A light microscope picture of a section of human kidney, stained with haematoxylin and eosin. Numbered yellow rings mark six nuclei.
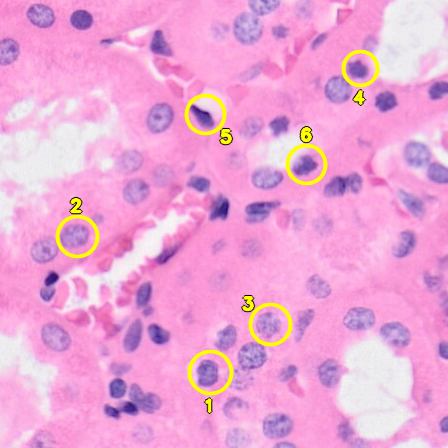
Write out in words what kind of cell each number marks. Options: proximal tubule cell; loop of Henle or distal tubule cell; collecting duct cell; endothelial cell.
Cell 1 is a loop of Henle or distal tubule cell, cell 2 is a proximal tubule cell, cell 3 is a loop of Henle or distal tubule cell, cell 4 is a loop of Henle or distal tubule cell, cell 5 is an endothelial cell and cell 6 is a loop of Henle or distal tubule cell.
